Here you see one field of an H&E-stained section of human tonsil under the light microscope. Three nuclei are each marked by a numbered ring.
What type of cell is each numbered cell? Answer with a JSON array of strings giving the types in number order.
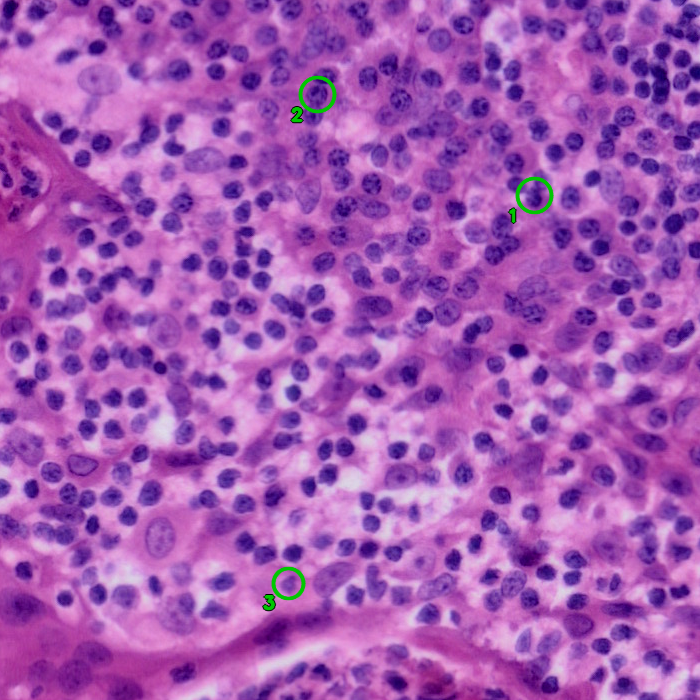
["plasma cell", "plasma cell", "squamous epithelial cell"]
